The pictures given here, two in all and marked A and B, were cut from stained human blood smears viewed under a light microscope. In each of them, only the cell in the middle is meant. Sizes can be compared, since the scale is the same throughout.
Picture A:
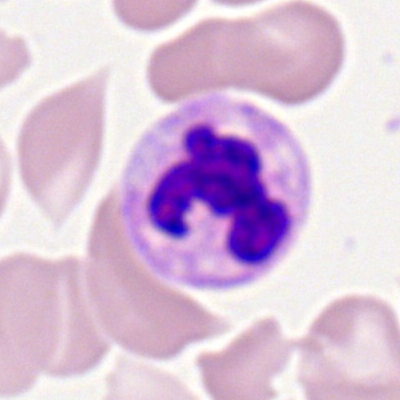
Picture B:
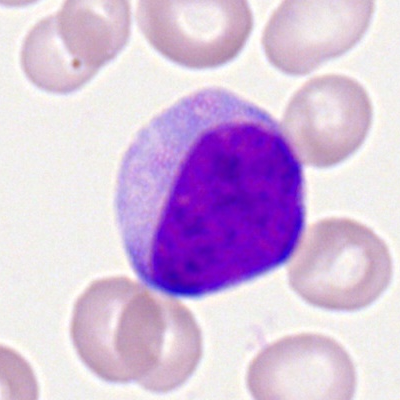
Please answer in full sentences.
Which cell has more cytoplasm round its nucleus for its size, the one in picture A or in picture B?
The nucleus fills less of the cell in picture A than in picture B.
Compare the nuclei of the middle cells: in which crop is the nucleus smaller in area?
The nucleus in picture A is smaller; the one in picture B has about 2 times its area.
